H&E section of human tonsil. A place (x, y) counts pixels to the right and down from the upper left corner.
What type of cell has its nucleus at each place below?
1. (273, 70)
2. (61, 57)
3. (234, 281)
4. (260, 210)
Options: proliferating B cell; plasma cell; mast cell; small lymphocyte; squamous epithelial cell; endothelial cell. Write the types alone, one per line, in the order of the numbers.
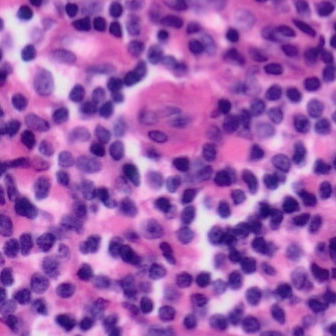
endothelial cell
endothelial cell
small lymphocyte
small lymphocyte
